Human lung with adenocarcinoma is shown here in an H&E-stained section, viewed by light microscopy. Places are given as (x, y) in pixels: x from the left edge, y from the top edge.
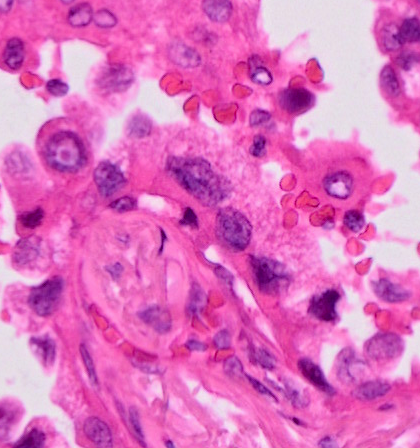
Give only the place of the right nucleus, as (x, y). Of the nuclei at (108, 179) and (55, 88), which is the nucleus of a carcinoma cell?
(108, 179)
